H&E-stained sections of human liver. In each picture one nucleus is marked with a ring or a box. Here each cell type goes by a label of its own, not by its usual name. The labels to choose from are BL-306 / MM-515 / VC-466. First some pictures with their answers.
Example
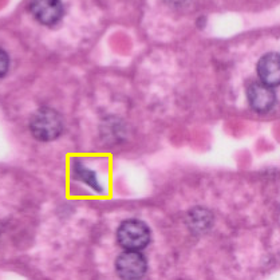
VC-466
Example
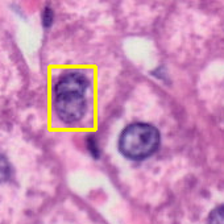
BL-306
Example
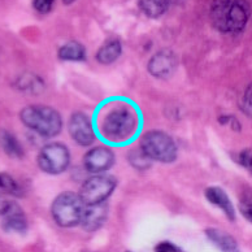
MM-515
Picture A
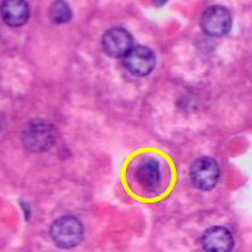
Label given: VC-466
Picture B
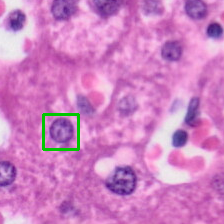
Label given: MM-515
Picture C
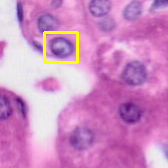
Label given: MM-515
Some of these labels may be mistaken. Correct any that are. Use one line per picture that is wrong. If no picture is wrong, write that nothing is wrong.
B: change MM-515 to BL-306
